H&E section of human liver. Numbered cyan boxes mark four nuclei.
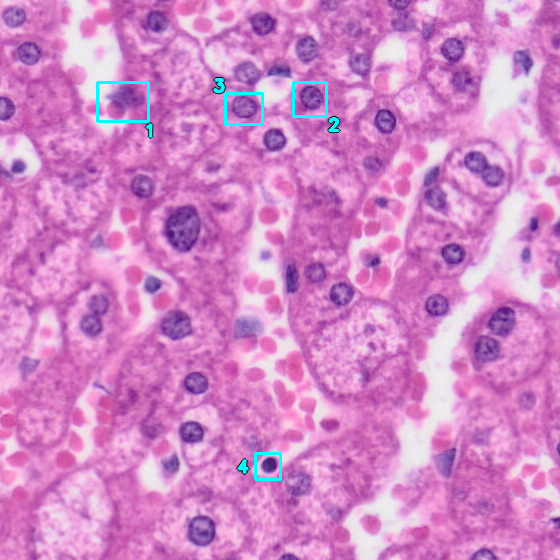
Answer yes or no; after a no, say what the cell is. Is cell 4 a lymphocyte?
Yes.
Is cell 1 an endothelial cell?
Yes.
